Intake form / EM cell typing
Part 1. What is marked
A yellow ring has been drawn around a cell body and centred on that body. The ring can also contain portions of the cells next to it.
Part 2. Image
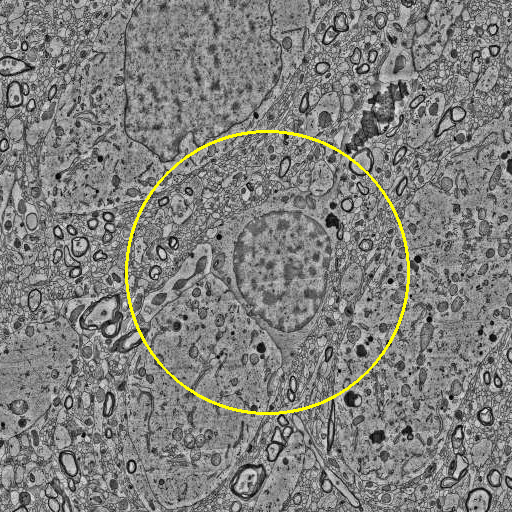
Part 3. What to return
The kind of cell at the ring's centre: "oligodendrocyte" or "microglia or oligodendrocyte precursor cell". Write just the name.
oligodendrocyte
